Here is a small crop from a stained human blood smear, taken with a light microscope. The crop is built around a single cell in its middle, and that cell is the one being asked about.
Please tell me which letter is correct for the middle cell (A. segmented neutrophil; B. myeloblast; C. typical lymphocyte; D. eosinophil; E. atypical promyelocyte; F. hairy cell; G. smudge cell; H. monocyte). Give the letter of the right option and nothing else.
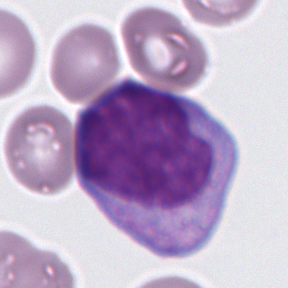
E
